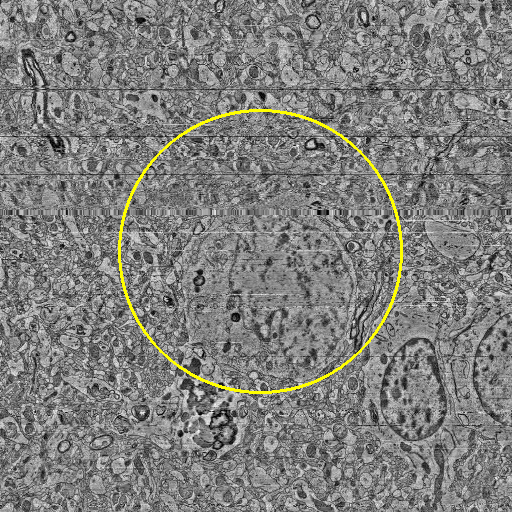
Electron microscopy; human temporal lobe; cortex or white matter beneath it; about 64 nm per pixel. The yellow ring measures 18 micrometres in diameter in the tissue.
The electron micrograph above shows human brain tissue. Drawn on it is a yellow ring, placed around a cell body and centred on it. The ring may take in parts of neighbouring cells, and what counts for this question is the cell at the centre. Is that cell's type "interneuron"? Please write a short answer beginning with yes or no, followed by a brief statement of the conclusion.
Yes, its type is the one named.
